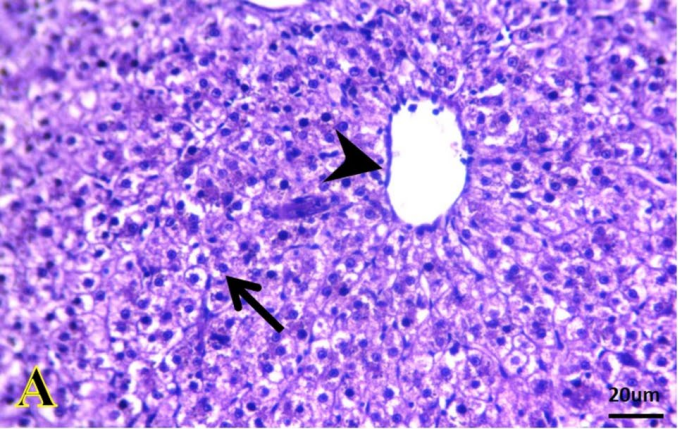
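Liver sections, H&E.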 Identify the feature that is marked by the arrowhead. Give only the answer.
Central vein.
